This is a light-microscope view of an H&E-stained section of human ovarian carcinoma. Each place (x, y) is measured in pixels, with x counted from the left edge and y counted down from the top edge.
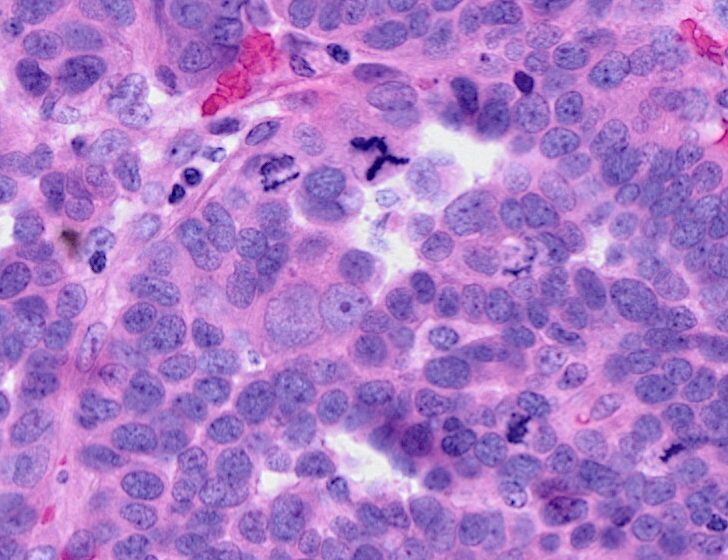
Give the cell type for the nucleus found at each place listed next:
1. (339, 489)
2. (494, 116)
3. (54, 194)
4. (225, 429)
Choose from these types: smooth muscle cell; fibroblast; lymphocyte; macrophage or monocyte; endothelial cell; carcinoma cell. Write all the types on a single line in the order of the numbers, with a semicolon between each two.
macrophage or monocyte; carcinoma cell; carcinoma cell; carcinoma cell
